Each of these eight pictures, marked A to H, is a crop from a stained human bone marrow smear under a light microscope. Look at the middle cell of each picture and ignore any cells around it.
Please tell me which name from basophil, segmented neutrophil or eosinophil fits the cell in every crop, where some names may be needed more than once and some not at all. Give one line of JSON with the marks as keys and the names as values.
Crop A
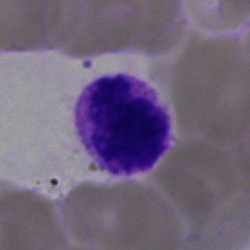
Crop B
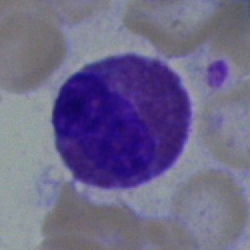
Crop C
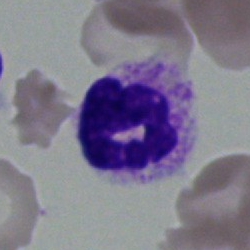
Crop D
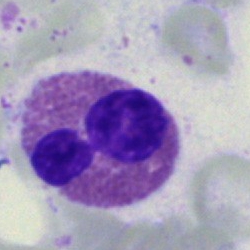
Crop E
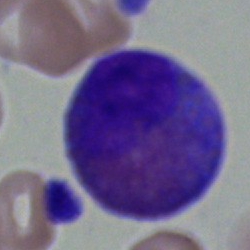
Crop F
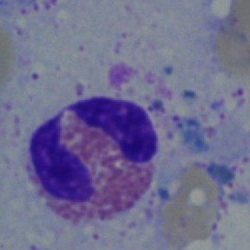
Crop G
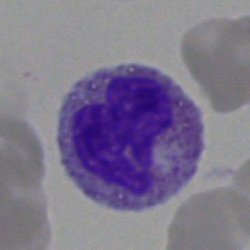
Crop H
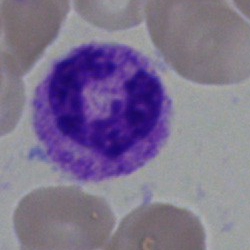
{"A": "basophil", "B": "eosinophil", "C": "segmented neutrophil", "D": "eosinophil", "E": "eosinophil", "F": "eosinophil", "G": "eosinophil", "H": "segmented neutrophil"}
